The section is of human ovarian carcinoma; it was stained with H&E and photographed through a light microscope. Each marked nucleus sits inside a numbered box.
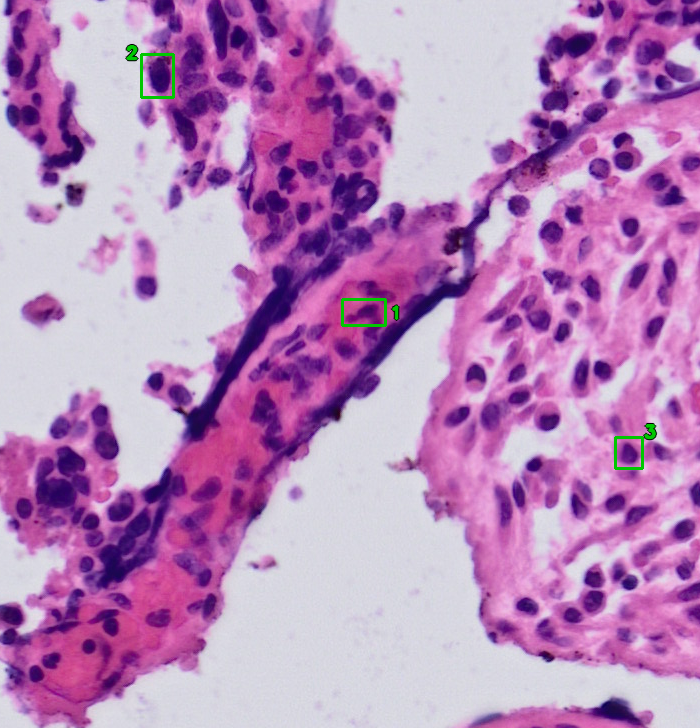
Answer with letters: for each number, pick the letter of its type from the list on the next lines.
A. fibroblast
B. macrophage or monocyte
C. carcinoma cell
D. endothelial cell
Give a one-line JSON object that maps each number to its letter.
{"1": "D", "2": "C", "3": "A"}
